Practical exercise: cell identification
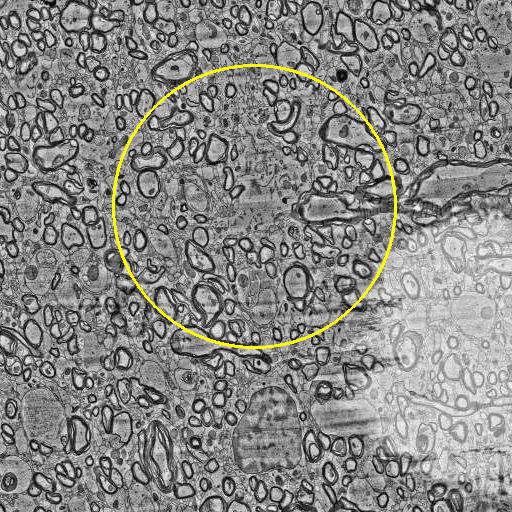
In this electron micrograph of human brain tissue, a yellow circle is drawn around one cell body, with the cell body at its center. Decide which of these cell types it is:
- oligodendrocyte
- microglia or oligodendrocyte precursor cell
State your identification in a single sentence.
The ringed cell is a microglial cell or oligodendrocyte precursor cell.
